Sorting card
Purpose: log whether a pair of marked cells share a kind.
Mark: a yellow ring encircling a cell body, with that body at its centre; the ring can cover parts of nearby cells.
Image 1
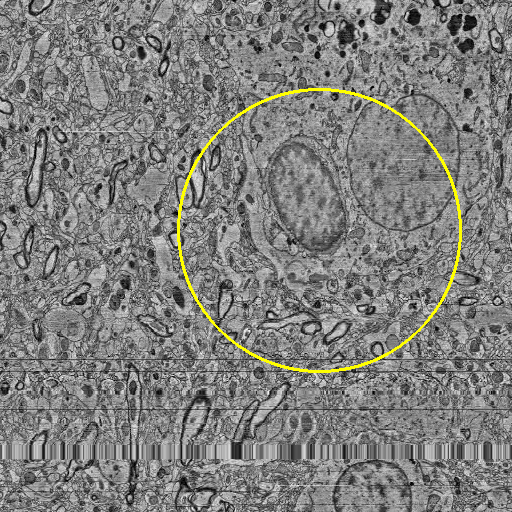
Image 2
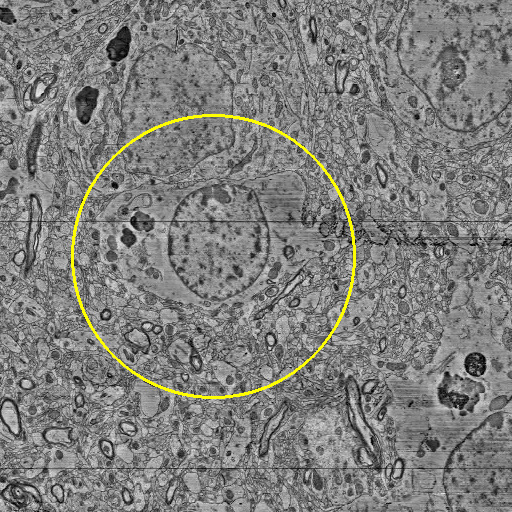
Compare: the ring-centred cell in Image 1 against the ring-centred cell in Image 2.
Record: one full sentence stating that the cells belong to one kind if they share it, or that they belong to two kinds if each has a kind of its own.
Across Images 1 and 2, the two ring-centred cells belong to two kinds.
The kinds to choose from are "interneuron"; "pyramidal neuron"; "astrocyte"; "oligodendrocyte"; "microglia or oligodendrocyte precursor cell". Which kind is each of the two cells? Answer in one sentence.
Of the two, the first cell is an oligodendrocyte and the second cell is an astrocyte.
